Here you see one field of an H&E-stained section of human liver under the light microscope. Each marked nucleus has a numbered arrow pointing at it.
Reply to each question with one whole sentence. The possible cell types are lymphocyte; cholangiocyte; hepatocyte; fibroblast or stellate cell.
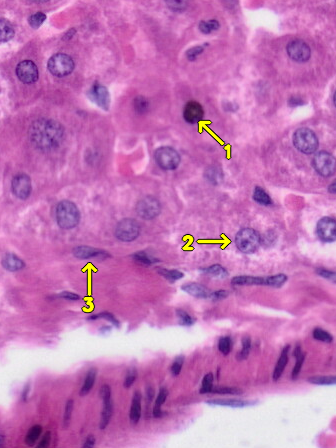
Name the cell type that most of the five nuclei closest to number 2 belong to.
Fibroblasts or stellate cells make up most of the five nuclei closest to number 2.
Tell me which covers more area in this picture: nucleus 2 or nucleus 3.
At about 1.5 times the area of nucleus 3, nucleus 2 is the larger of the two.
